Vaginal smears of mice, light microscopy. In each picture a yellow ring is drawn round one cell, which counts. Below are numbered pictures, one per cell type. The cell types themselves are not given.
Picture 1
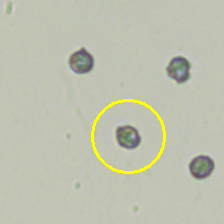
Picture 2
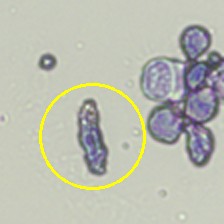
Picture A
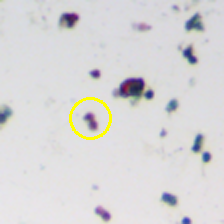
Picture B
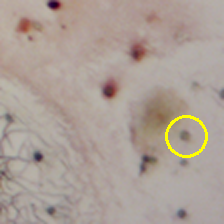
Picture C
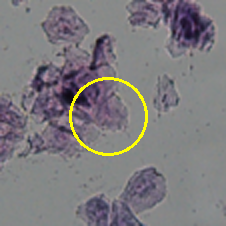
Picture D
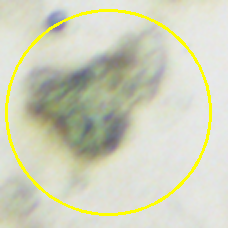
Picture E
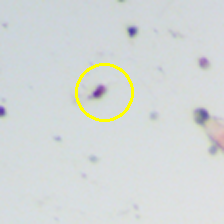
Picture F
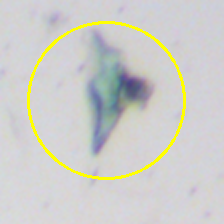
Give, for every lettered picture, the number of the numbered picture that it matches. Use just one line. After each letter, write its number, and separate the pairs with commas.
A 1, B 1, C 2, D 2, E 1, F 2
